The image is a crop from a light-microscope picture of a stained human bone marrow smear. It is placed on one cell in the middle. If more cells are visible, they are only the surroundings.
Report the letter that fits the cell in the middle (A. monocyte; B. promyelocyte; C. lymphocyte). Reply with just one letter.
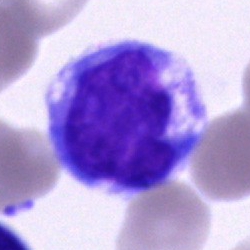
A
